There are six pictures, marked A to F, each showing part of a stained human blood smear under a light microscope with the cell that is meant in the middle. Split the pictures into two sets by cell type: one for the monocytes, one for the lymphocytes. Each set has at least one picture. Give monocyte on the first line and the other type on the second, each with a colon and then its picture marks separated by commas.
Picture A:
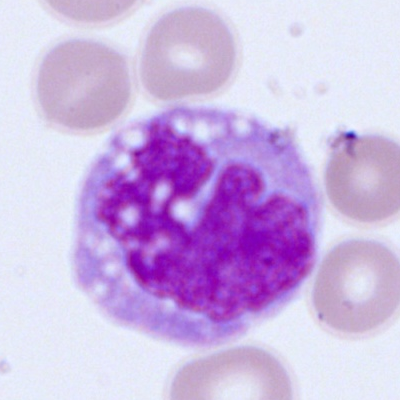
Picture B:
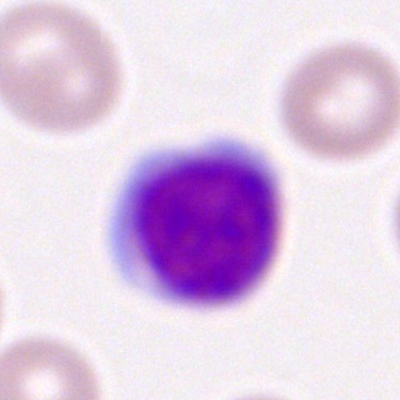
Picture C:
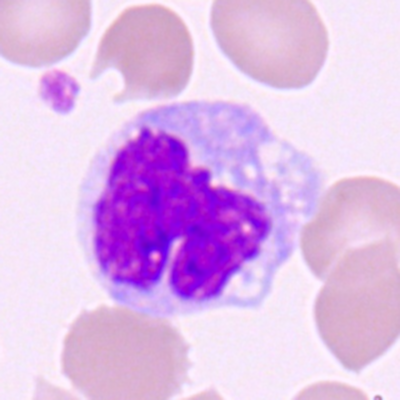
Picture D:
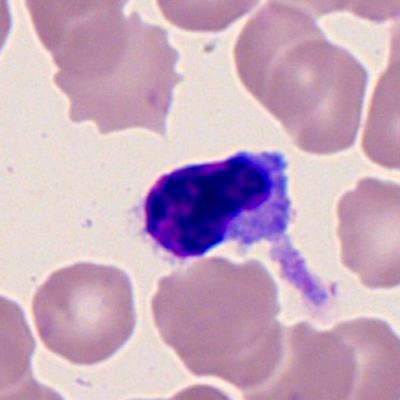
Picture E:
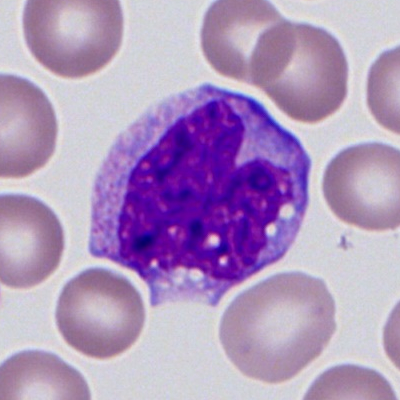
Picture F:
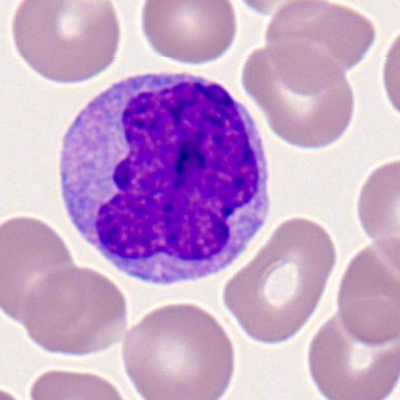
monocyte: A, C, E, F
lymphocyte: B, D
